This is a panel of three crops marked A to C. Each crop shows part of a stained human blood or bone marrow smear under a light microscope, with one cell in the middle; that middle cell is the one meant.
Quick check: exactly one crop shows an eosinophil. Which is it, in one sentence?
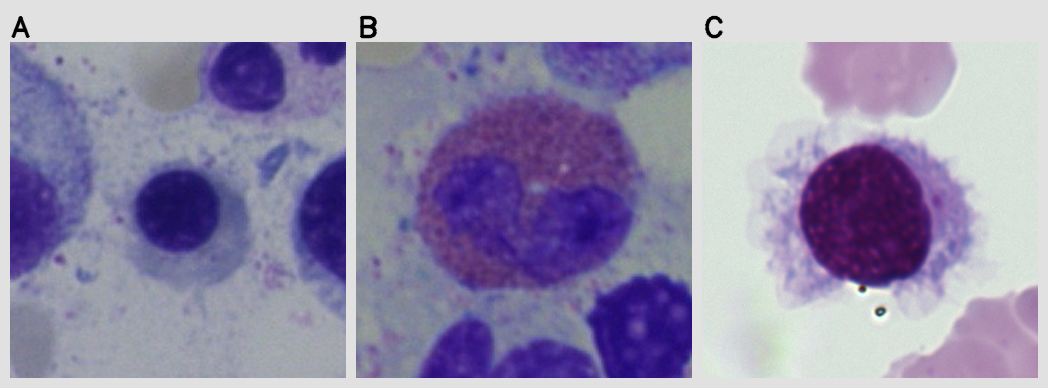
Crop B alone, of all the crops, shows an eosinophil.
